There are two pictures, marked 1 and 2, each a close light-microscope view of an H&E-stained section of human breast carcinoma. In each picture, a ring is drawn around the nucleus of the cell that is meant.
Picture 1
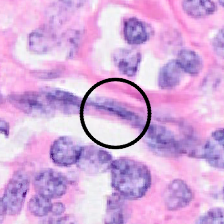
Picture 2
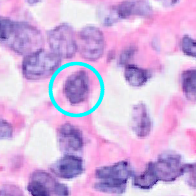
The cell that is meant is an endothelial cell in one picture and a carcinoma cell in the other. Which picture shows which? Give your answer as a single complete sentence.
Picture 1 shows an endothelial cell and picture 2 shows a carcinoma cell.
